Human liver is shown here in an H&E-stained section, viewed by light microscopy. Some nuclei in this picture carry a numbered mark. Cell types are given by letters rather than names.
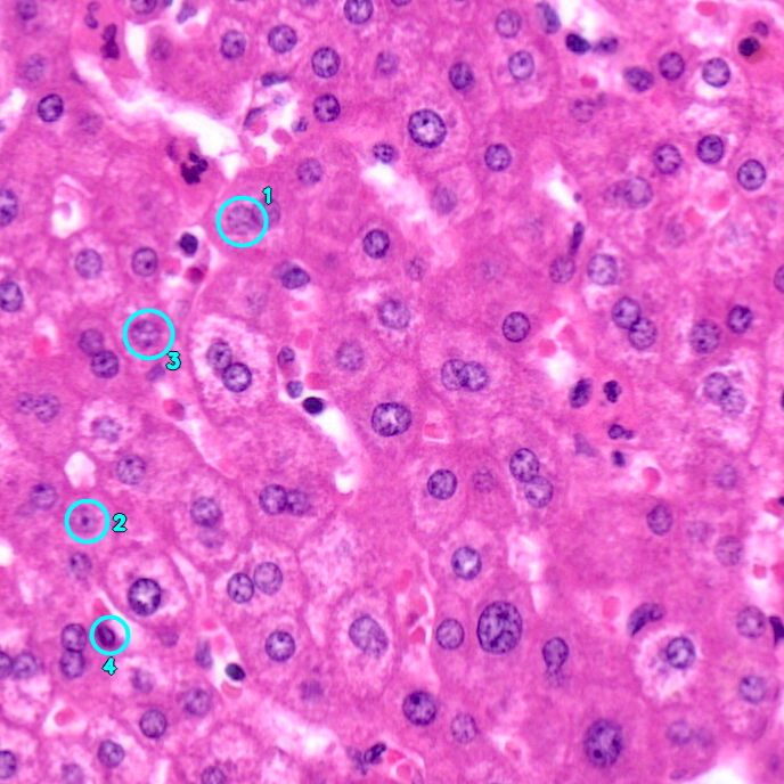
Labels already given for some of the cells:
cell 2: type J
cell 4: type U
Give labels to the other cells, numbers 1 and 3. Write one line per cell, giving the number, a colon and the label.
1: type J
3: type J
